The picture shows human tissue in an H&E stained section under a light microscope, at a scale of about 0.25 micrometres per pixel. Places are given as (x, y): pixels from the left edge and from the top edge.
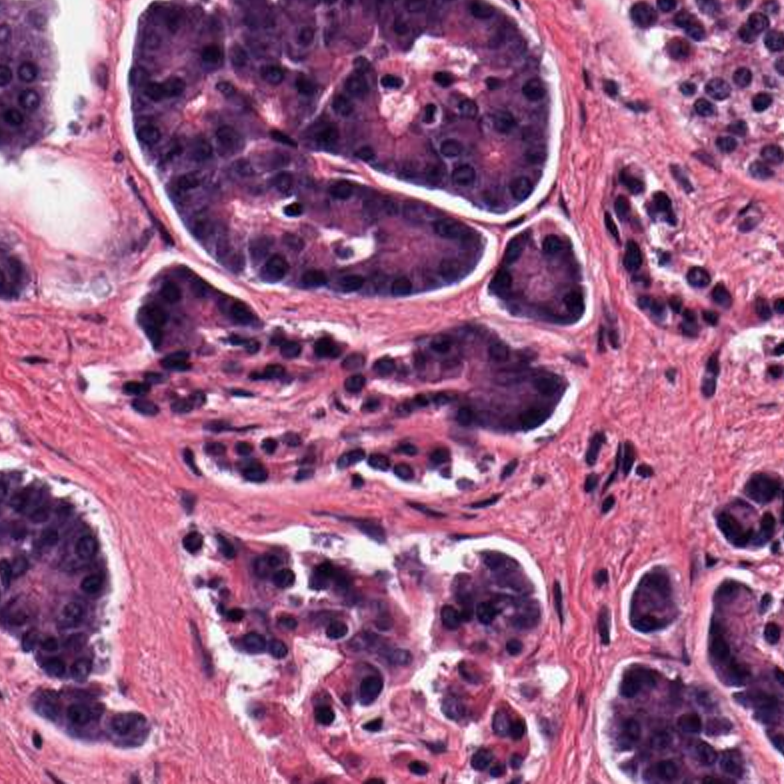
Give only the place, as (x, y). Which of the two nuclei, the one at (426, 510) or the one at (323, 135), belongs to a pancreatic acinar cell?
(323, 135)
